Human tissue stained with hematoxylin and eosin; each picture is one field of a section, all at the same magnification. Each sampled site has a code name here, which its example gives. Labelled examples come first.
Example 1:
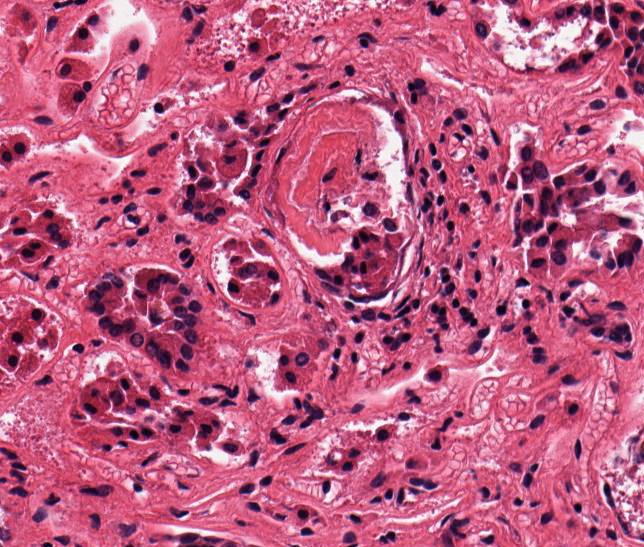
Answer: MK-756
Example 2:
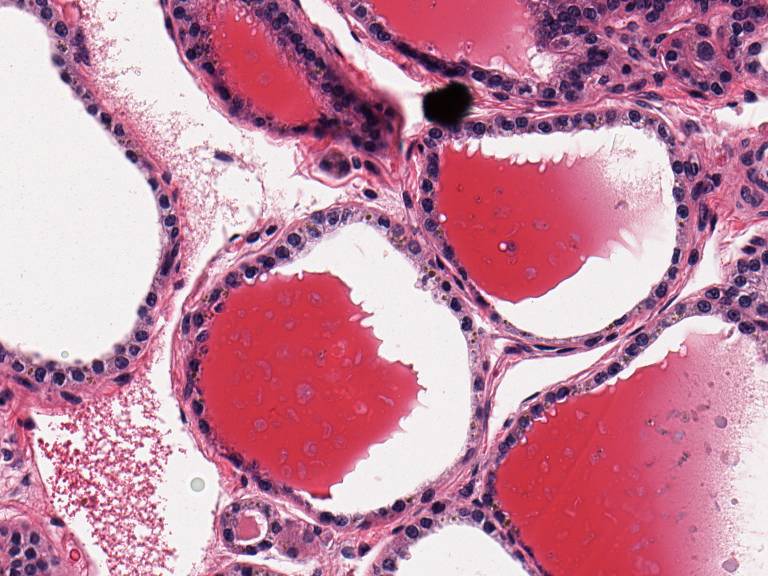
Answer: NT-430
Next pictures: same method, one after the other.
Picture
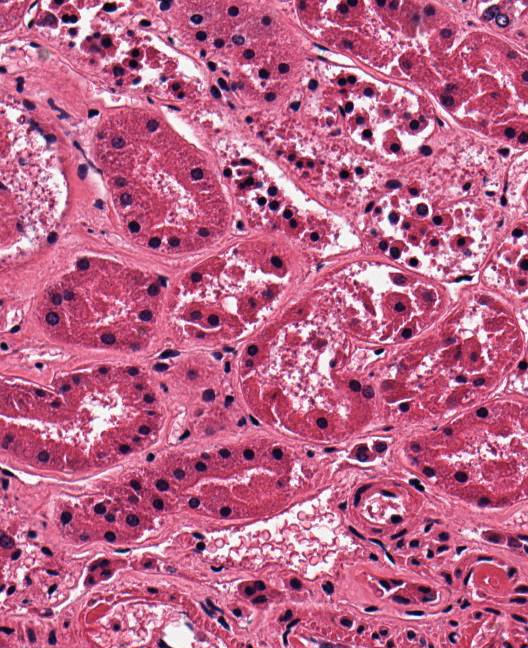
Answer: MK-756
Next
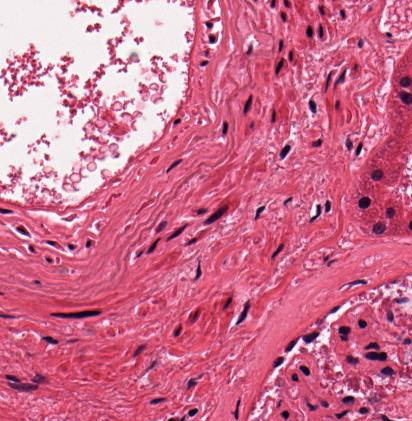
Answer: MK-756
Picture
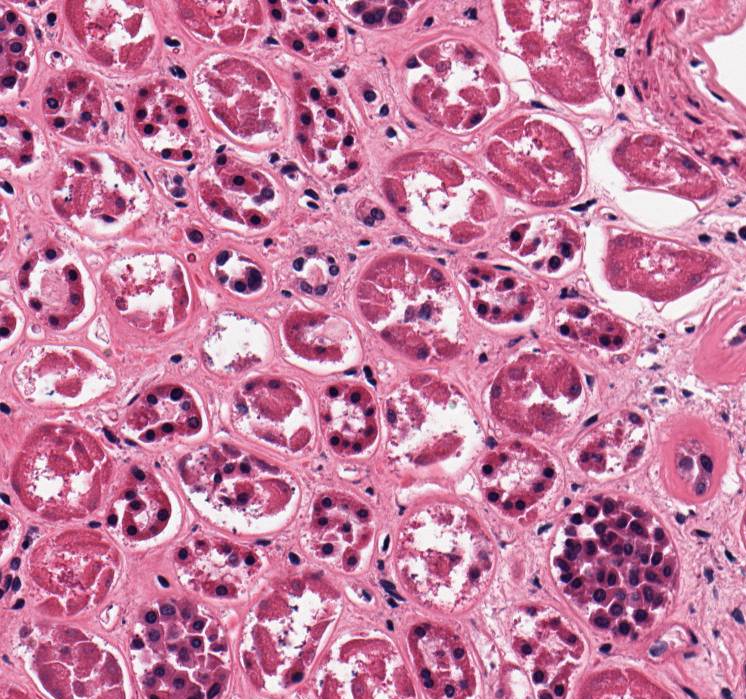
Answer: MK-756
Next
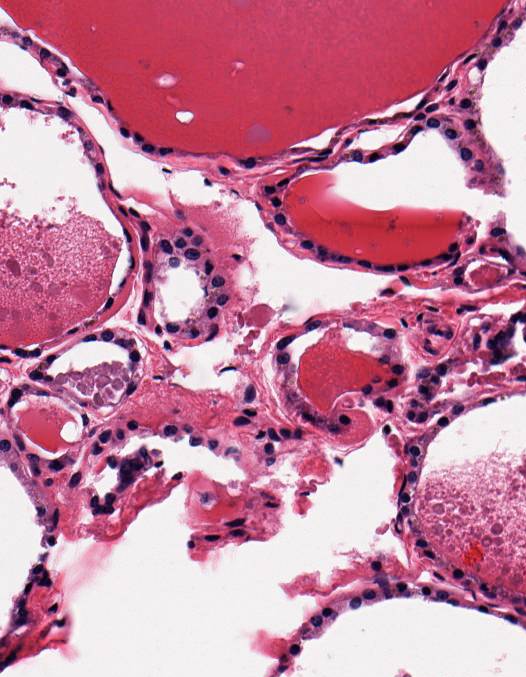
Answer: NT-430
